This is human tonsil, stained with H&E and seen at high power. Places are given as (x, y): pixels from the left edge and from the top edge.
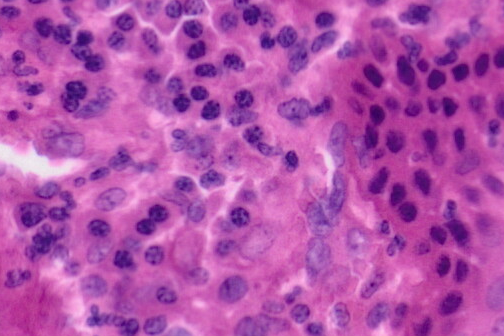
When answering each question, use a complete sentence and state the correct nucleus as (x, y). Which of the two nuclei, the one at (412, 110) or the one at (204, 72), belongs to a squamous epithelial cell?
The one at (412, 110) is the nucleus belonging to a squamous epithelial cell, not the other one.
